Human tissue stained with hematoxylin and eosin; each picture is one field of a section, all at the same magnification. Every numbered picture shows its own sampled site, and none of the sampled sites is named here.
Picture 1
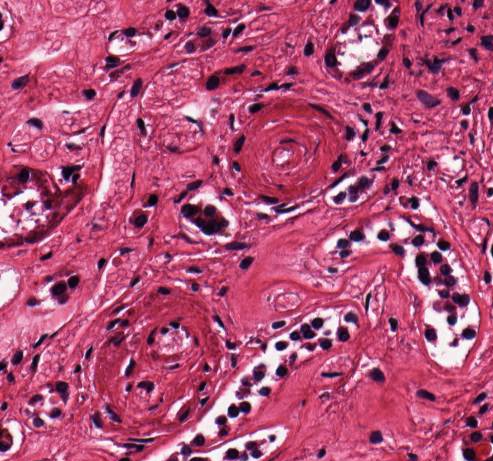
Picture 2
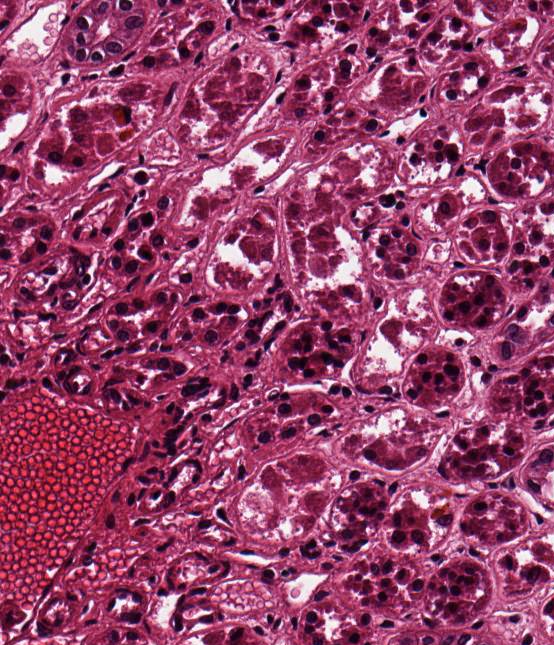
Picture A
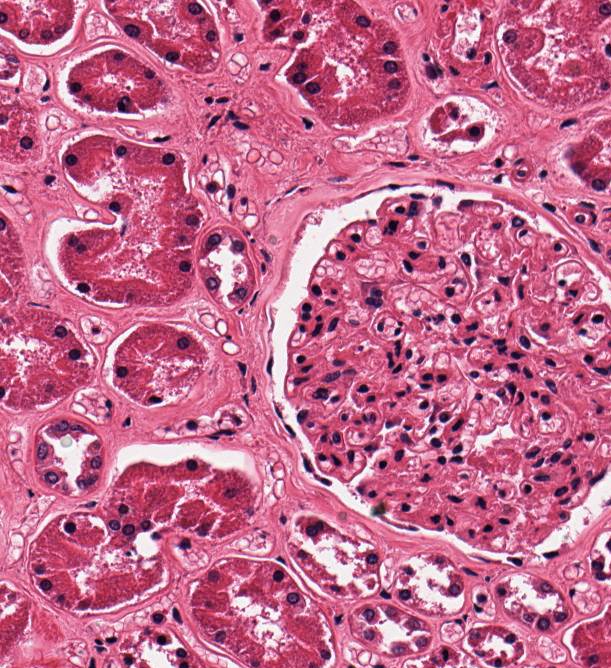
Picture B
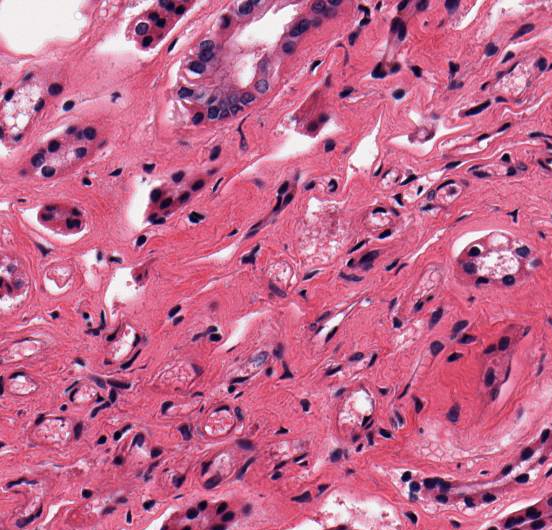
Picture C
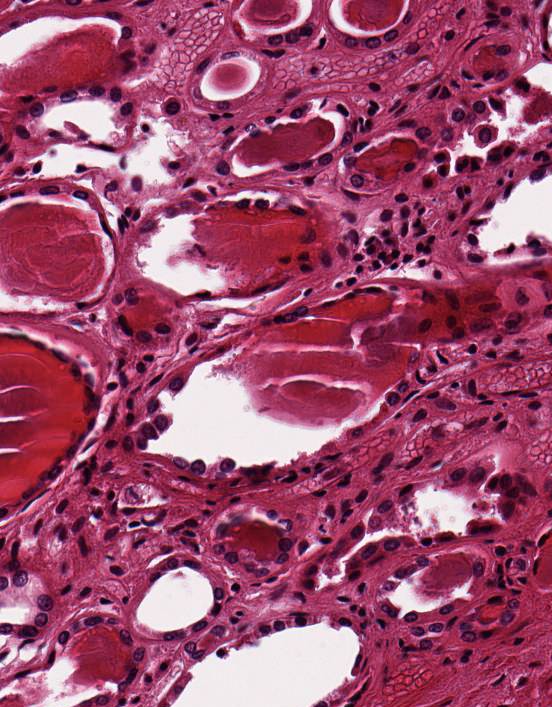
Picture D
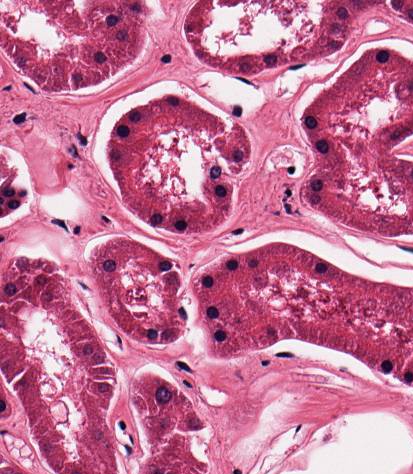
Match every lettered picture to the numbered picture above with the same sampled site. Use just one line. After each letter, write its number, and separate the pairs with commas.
A 1, B 2, C 1, D 1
